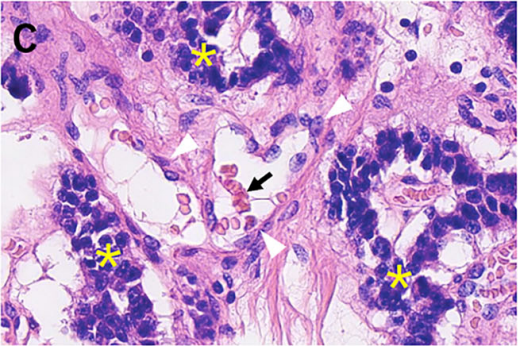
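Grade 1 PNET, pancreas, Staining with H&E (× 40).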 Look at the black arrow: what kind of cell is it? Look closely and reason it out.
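Red blood cells. Small, anucleate, pink-red biconcave discs lie in a small group inside a clear space.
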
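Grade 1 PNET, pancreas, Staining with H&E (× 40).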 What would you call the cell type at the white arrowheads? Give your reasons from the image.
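Vascular endothelial cells. Thin, flattened cells with elongated nuclei line the edges of clear, open spaces. The lined spaces contain red blood cells.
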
